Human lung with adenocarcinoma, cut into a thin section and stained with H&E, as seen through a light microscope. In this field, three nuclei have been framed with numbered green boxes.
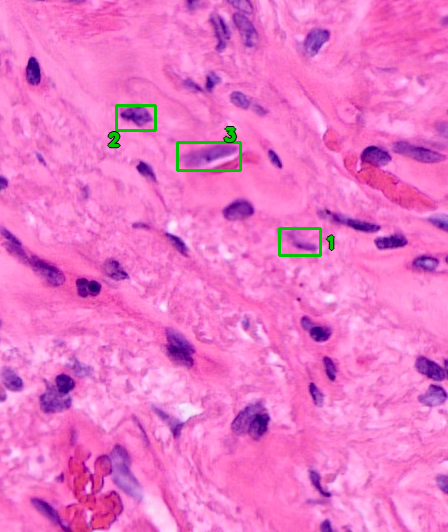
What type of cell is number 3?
endothelial cell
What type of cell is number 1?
fibroblast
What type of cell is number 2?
fibroblast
